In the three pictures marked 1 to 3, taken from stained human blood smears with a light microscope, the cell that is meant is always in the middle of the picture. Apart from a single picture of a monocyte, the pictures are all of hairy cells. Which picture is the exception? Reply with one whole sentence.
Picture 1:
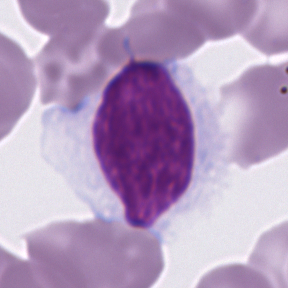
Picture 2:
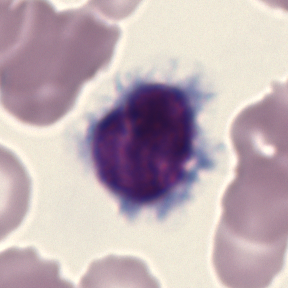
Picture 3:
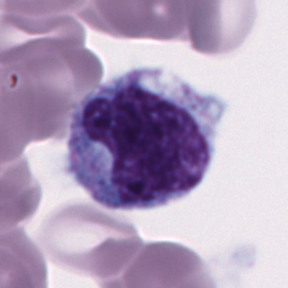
Picture 3 shows the monocyte.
